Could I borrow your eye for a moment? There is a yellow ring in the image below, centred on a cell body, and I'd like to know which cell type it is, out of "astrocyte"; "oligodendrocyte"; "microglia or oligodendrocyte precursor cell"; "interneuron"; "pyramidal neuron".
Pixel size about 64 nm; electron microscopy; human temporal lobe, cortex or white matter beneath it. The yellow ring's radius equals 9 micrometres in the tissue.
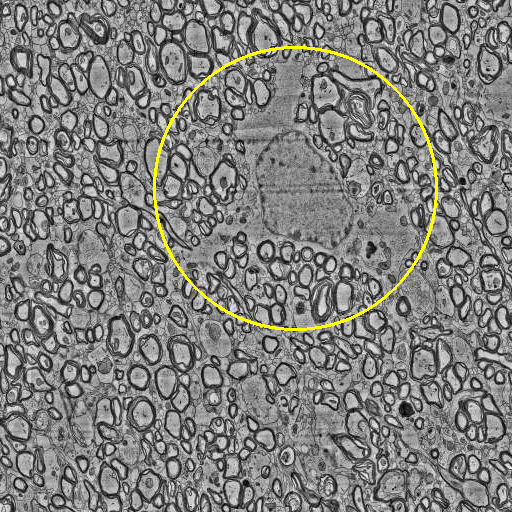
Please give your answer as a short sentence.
The cell body at the centre is that of an astrocyte.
